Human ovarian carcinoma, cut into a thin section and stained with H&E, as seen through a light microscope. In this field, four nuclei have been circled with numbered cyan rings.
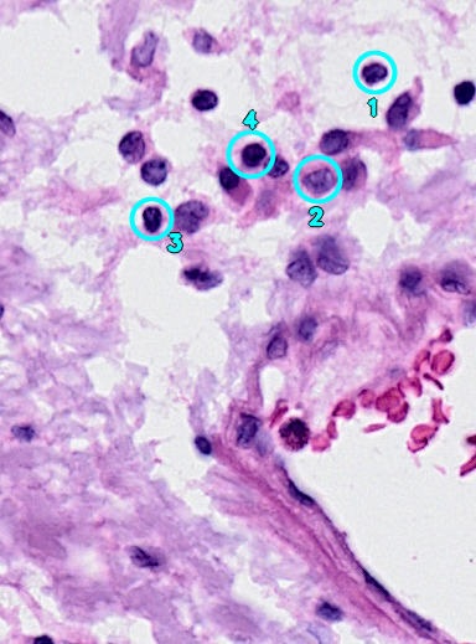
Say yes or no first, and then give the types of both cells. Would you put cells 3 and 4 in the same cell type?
Yes, both are lymphocytes.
